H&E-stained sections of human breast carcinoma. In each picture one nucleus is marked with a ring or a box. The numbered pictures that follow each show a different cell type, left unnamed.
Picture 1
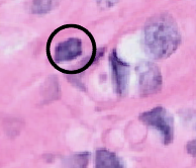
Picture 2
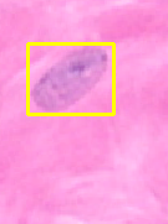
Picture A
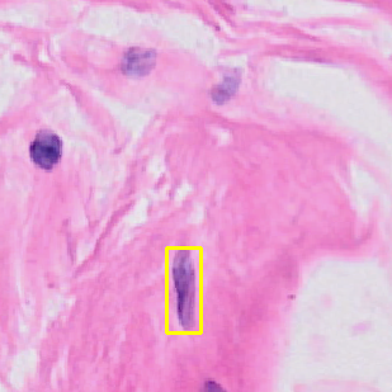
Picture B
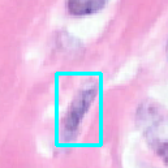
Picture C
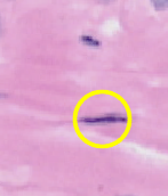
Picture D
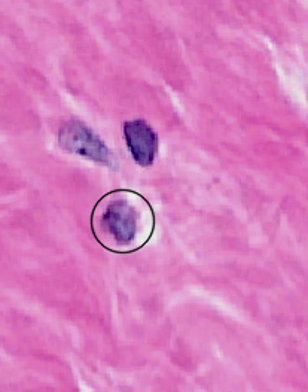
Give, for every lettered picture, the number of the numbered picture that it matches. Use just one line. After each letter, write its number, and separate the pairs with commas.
A 2, B 2, C 2, D 1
